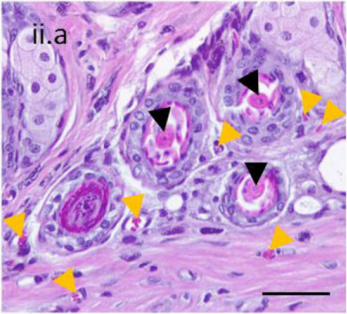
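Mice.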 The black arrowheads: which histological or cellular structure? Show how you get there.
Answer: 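Differentiated core. The black arrowheads point to pink, compact material in the centre of round epithelial structures. The central material is surrounded by concentric layers of nucleated cells.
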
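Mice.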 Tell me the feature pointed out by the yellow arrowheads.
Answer: small vessels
